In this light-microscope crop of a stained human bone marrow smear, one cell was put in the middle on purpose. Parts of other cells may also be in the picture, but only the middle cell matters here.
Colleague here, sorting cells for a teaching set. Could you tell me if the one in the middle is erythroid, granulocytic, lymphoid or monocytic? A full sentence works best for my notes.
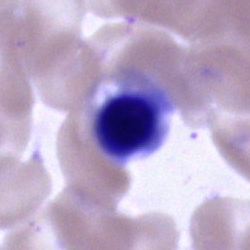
The cell at the center is a representative of the erythroid lineage.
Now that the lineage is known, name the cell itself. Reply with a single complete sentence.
The cell under consideration, at the middle of the crop, is an erythroblast.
